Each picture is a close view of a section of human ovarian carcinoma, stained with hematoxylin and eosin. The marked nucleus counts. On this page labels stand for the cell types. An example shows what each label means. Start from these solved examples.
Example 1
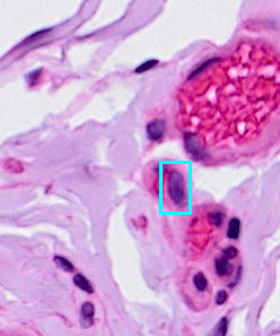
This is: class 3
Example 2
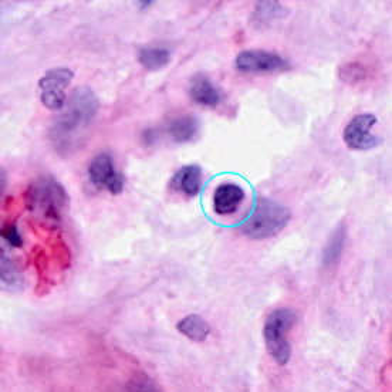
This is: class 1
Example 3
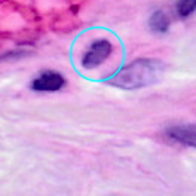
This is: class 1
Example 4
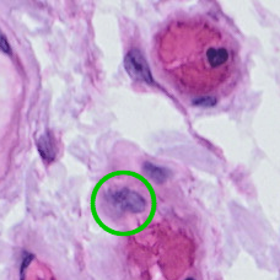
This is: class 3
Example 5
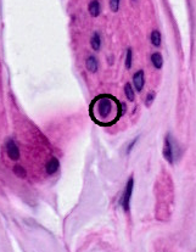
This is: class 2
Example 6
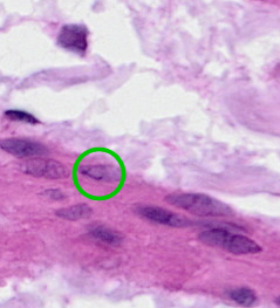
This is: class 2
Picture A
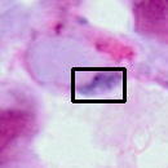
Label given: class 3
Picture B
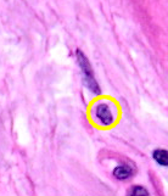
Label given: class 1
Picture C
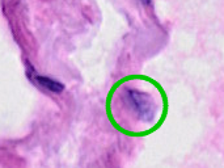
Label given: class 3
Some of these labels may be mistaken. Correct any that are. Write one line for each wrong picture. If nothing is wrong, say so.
All labels are correct.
